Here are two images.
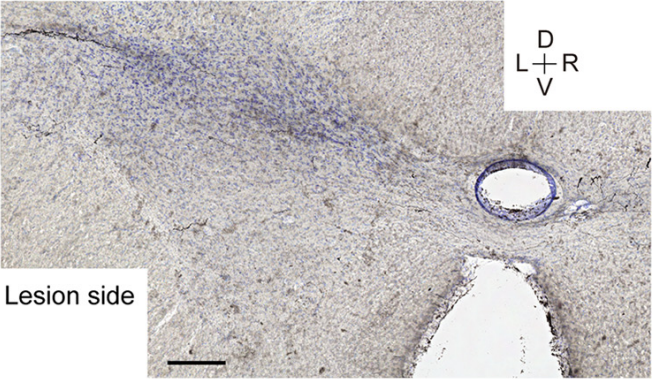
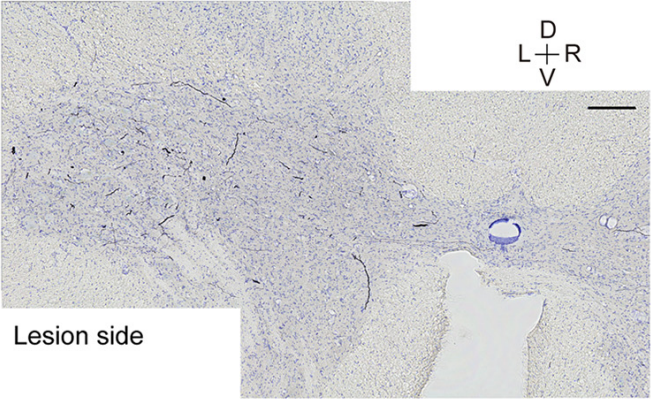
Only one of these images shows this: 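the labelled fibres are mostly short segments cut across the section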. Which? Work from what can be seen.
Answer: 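First image: a few dark fibres run as long lines within the plane of the section. Second image: many dark fibres appear only as short segments scattered in the tissue.
Hence: the second image.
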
